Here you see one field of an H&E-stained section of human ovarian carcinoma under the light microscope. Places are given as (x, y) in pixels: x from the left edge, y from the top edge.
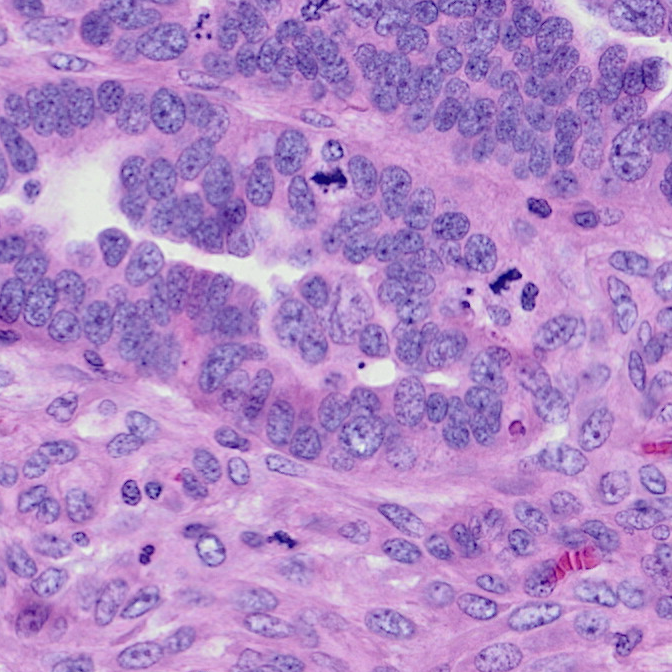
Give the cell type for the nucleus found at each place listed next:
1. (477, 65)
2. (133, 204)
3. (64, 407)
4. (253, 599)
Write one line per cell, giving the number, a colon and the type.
1: carcinoma cell
2: carcinoma cell
3: fibroblast
4: fibroblast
